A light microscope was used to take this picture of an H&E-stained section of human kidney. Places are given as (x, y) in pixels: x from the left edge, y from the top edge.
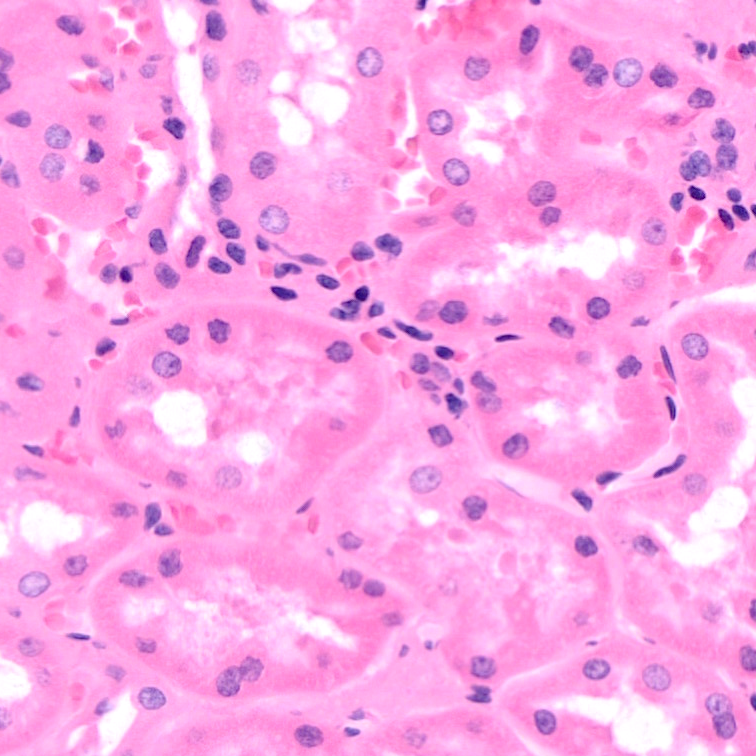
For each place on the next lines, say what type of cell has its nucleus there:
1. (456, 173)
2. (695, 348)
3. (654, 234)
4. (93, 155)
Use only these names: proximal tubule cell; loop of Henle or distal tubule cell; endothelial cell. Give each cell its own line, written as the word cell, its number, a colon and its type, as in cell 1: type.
cell 1: proximal tubule cell
cell 2: proximal tubule cell
cell 3: proximal tubule cell
cell 4: loop of Henle or distal tubule cell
